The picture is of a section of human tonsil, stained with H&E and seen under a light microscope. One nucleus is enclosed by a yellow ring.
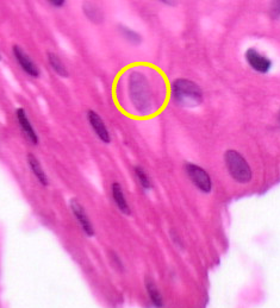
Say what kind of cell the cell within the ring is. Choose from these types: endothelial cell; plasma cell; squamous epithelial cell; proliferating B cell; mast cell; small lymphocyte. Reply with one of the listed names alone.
squamous epithelial cell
